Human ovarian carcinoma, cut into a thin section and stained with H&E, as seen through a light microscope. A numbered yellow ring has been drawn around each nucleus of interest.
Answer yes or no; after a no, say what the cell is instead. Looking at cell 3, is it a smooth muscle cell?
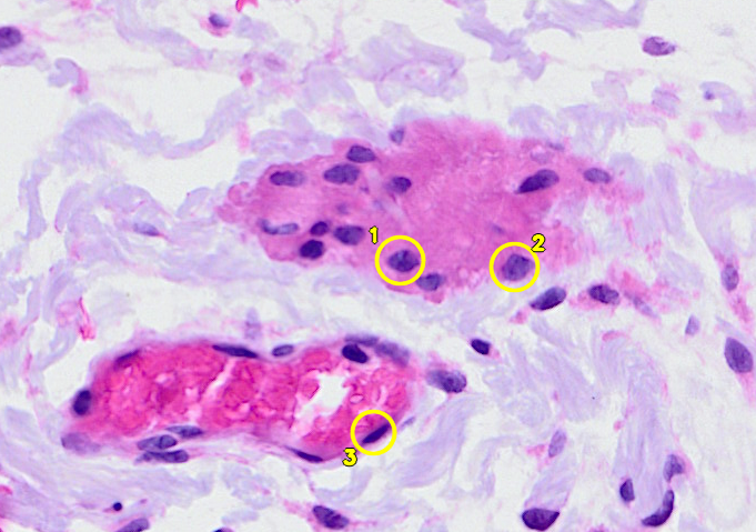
No, it is an endothelial cell.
